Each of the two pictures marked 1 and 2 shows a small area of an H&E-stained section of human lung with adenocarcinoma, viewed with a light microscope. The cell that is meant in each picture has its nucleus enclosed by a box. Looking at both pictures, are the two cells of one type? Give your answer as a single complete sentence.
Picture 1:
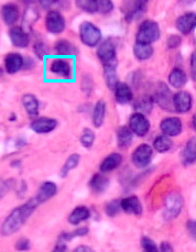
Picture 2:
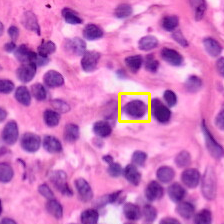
Yes; the cells in both pictures are lymphocytes.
